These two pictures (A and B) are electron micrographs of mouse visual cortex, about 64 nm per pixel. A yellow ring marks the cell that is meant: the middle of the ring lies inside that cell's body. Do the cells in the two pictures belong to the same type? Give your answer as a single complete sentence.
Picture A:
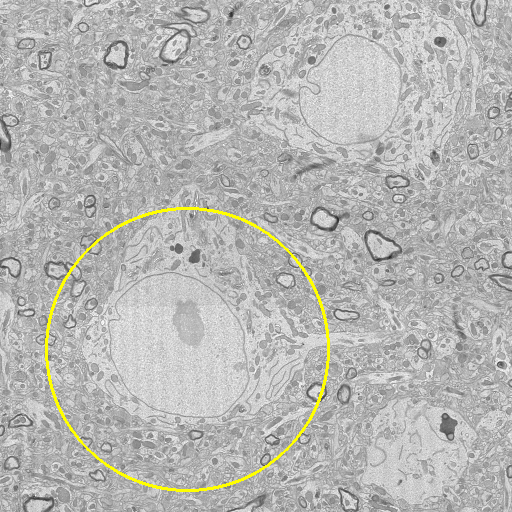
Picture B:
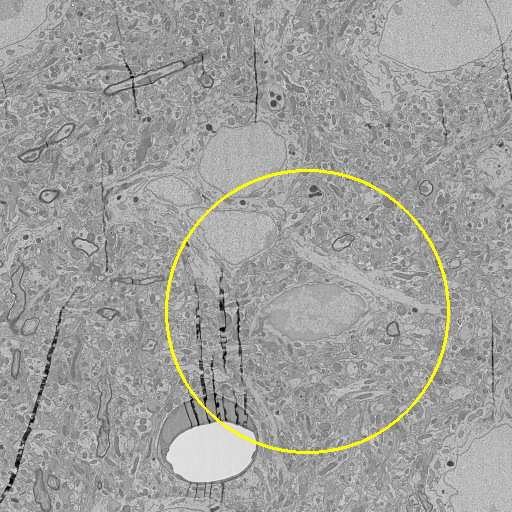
No, picture A shows an excitatory neuron and picture B shows a microglial cell.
